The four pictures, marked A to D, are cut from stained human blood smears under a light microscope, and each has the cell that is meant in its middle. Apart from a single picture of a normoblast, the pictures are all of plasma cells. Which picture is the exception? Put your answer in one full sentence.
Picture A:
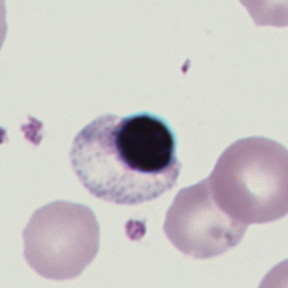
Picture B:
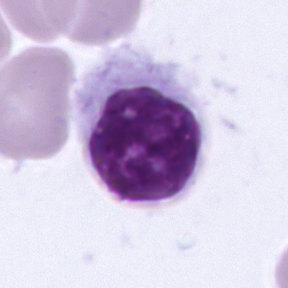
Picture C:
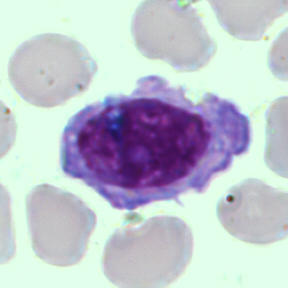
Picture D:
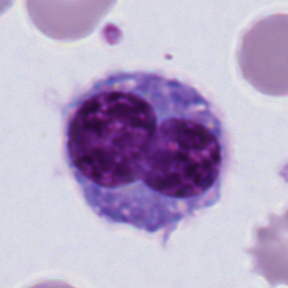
The picture with the normoblast is A.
